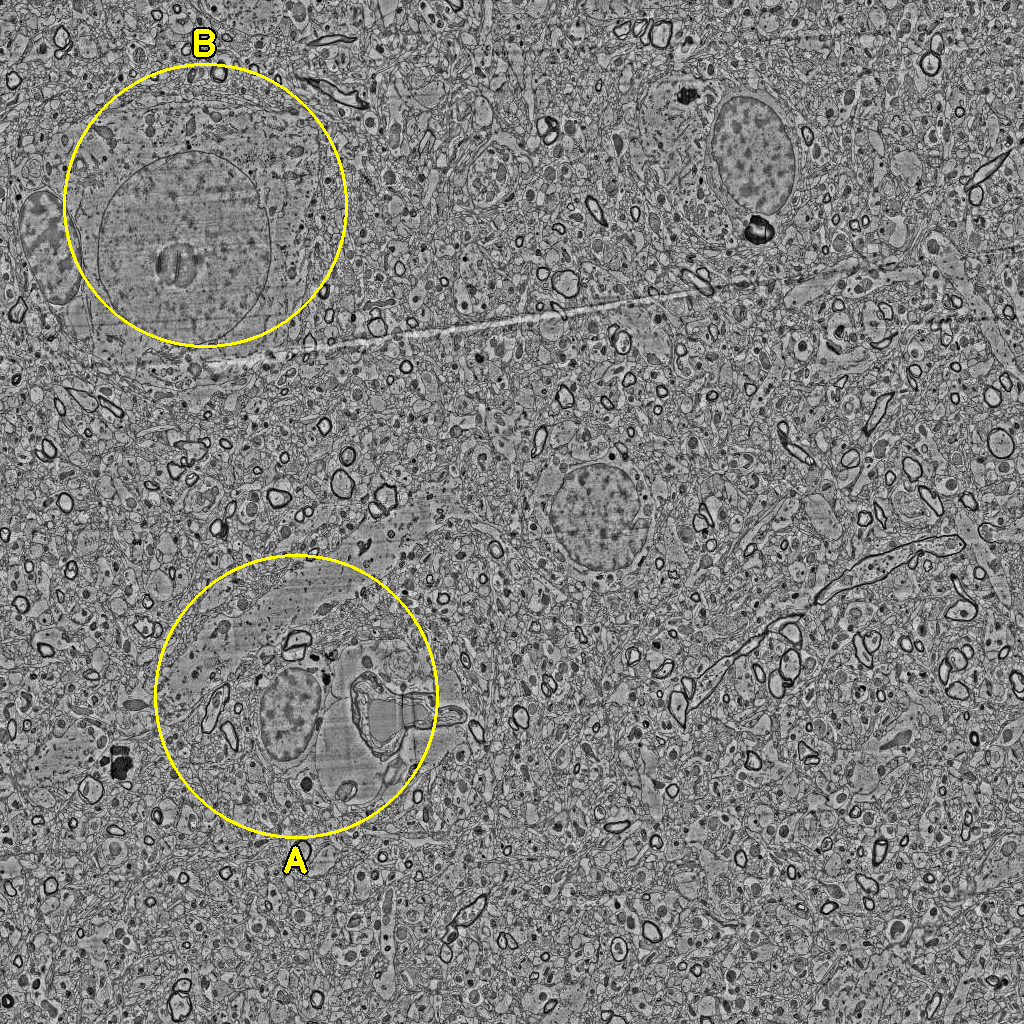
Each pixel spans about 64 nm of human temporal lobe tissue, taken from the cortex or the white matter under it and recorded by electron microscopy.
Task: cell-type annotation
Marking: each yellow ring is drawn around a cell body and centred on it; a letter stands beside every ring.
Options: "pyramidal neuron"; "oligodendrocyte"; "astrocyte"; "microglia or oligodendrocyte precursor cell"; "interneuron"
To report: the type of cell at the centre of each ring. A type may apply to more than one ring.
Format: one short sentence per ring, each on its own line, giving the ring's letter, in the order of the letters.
Ring A is centred on an oligodendrocyte.
Ring B is centred on a pyramidal neuron.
